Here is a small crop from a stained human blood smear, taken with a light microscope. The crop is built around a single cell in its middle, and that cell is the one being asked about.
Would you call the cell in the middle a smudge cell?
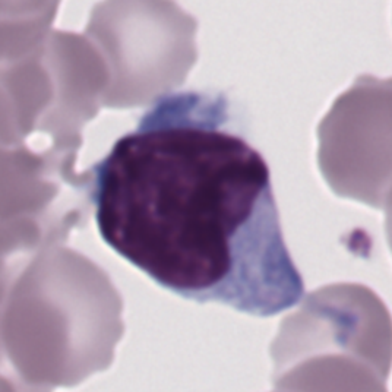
no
